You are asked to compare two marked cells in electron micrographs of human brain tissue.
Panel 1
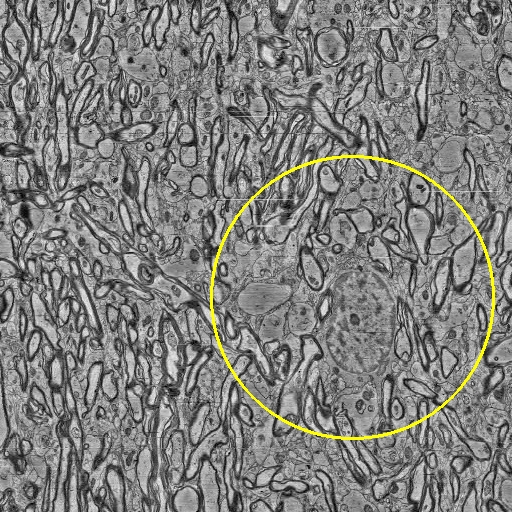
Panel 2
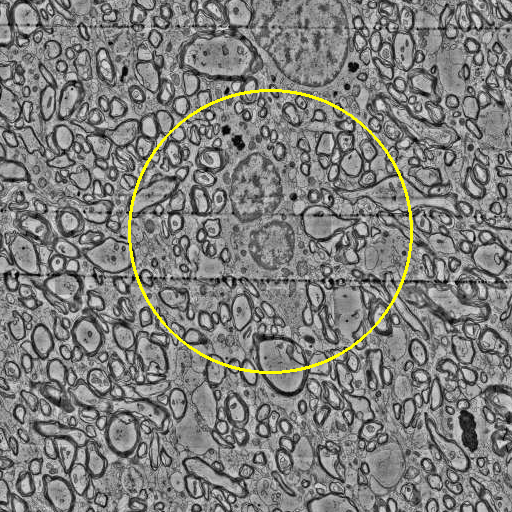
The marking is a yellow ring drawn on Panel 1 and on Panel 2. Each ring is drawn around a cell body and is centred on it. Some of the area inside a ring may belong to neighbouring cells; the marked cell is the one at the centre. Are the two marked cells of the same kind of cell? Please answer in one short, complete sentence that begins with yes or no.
Yes, the two marked cells are of the same kind.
